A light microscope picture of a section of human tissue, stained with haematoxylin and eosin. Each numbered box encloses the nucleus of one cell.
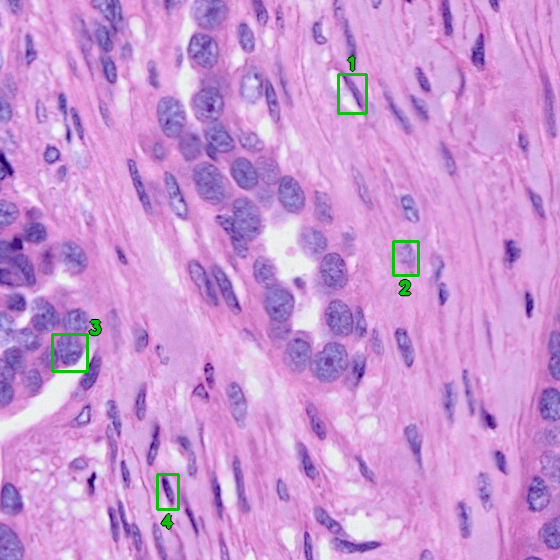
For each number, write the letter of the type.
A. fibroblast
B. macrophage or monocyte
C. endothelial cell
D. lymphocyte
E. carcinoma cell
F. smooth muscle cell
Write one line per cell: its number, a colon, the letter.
1: A
2: A
3: E
4: A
